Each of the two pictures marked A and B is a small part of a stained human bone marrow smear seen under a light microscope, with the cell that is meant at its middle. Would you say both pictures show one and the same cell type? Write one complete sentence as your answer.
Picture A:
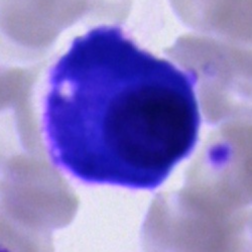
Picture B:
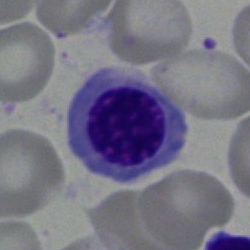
No; the cell in picture A is a plasma cell, while the one in picture B is an erythroblast.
